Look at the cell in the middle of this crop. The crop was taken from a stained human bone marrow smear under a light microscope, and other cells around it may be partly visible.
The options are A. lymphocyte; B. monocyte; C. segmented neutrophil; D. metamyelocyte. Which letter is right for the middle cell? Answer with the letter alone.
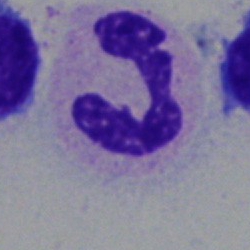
C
